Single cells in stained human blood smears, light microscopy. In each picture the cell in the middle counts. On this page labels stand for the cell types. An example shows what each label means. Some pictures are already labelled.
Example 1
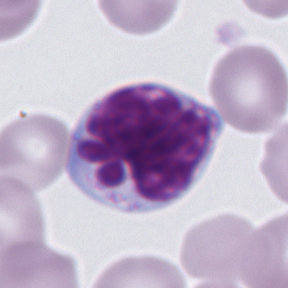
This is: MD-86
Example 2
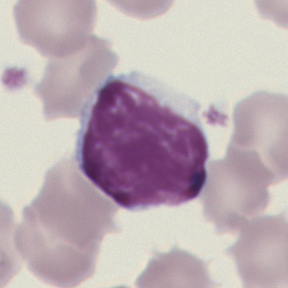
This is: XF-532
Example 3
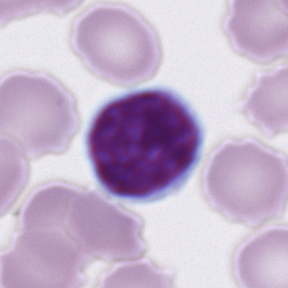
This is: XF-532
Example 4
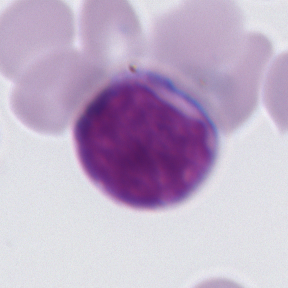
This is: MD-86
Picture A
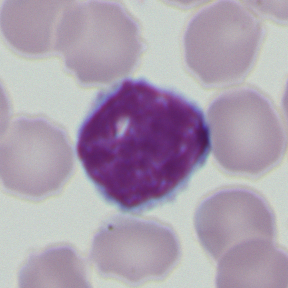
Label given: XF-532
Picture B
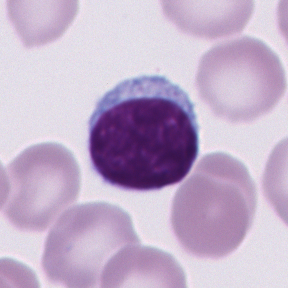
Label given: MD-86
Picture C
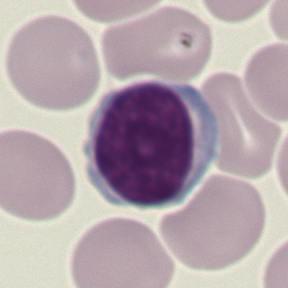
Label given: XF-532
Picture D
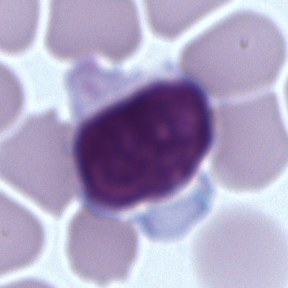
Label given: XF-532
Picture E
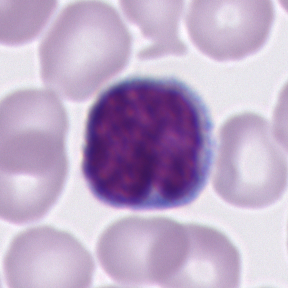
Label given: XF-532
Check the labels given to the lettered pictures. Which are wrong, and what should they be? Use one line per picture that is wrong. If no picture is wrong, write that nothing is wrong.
B is labelled MD-86; correct label: XF-532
